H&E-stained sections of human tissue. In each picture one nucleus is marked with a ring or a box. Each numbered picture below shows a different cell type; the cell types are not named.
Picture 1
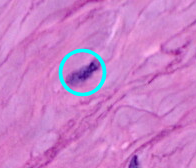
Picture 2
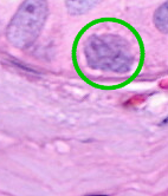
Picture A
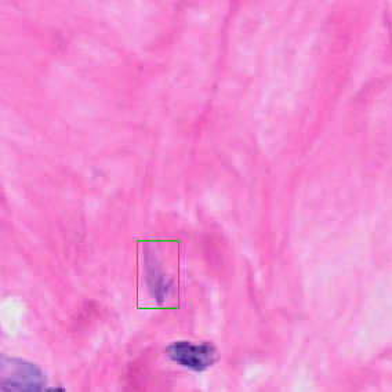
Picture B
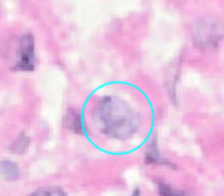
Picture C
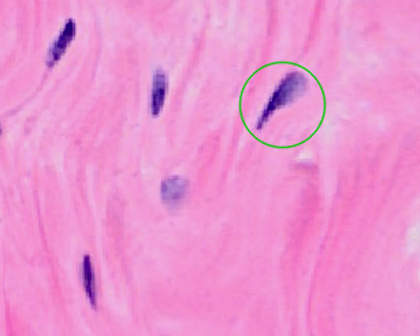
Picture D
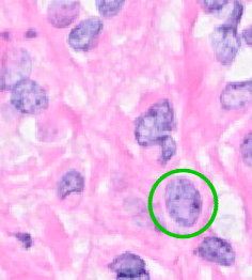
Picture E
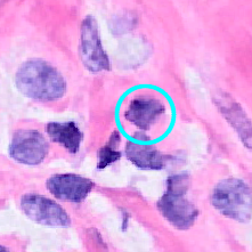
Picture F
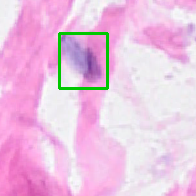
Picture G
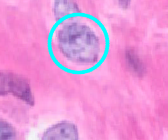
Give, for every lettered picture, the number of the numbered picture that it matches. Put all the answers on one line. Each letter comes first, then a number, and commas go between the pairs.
A 1, B 2, C 1, D 2, E 2, F 1, G 2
